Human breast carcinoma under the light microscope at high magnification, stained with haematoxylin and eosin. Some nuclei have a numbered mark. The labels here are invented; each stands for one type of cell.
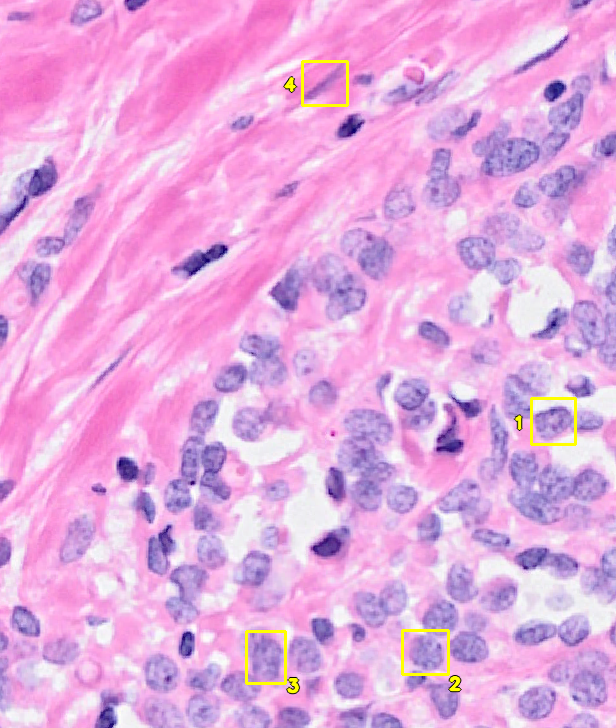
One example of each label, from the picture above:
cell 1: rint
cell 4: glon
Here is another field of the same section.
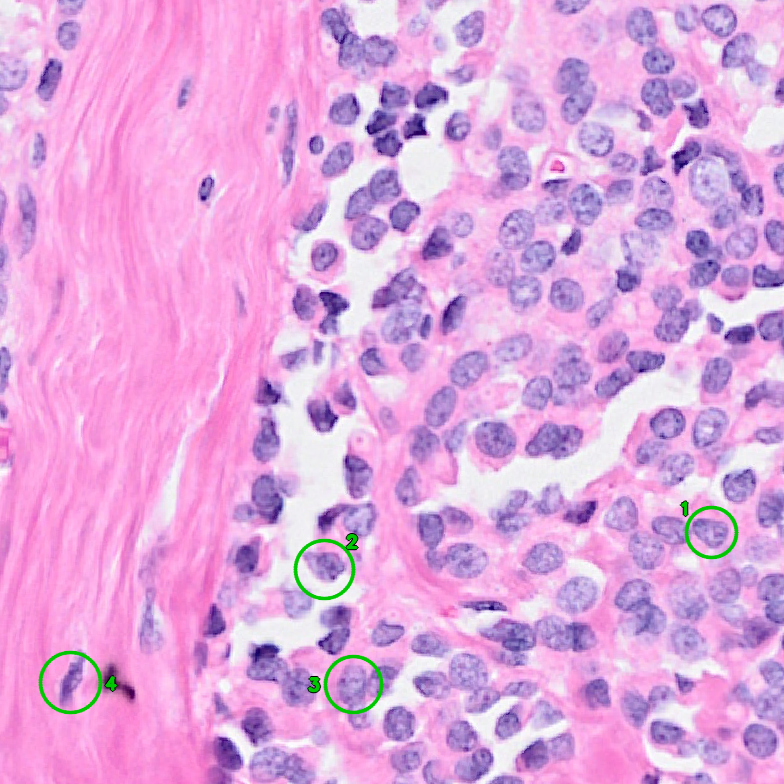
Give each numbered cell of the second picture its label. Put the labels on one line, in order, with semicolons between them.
rint; rint; rint; glon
